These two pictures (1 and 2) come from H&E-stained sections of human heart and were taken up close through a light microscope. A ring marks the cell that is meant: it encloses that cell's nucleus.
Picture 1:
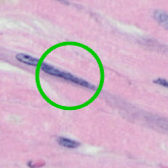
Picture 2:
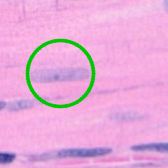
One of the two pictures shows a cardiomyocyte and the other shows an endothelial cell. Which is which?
1: endothelial cell
2: cardiomyocyte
